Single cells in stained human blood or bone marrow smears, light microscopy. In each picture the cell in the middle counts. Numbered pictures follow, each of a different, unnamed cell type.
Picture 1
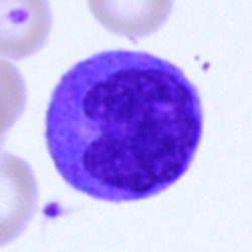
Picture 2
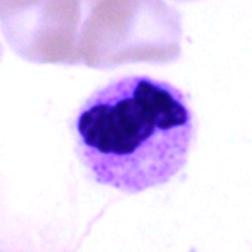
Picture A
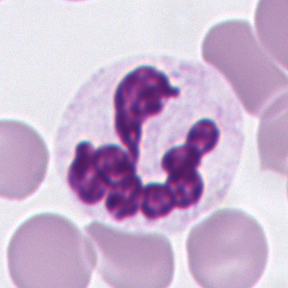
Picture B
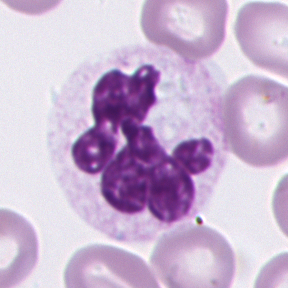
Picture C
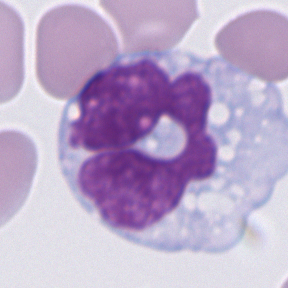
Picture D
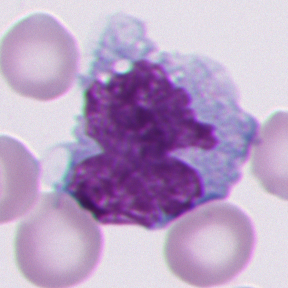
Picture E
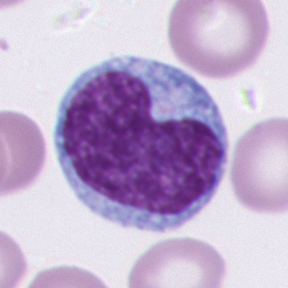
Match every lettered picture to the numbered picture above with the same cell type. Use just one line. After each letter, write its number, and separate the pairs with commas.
A 2, B 2, C 1, D 1, E 1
